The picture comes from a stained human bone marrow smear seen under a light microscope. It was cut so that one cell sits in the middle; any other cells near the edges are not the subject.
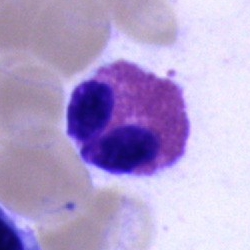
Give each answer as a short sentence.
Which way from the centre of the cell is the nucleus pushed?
Toward the lower left of the cell lies its nucleus.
